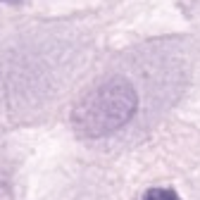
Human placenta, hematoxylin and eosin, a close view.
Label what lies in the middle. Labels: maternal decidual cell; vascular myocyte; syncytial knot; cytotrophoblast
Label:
maternal decidual cell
